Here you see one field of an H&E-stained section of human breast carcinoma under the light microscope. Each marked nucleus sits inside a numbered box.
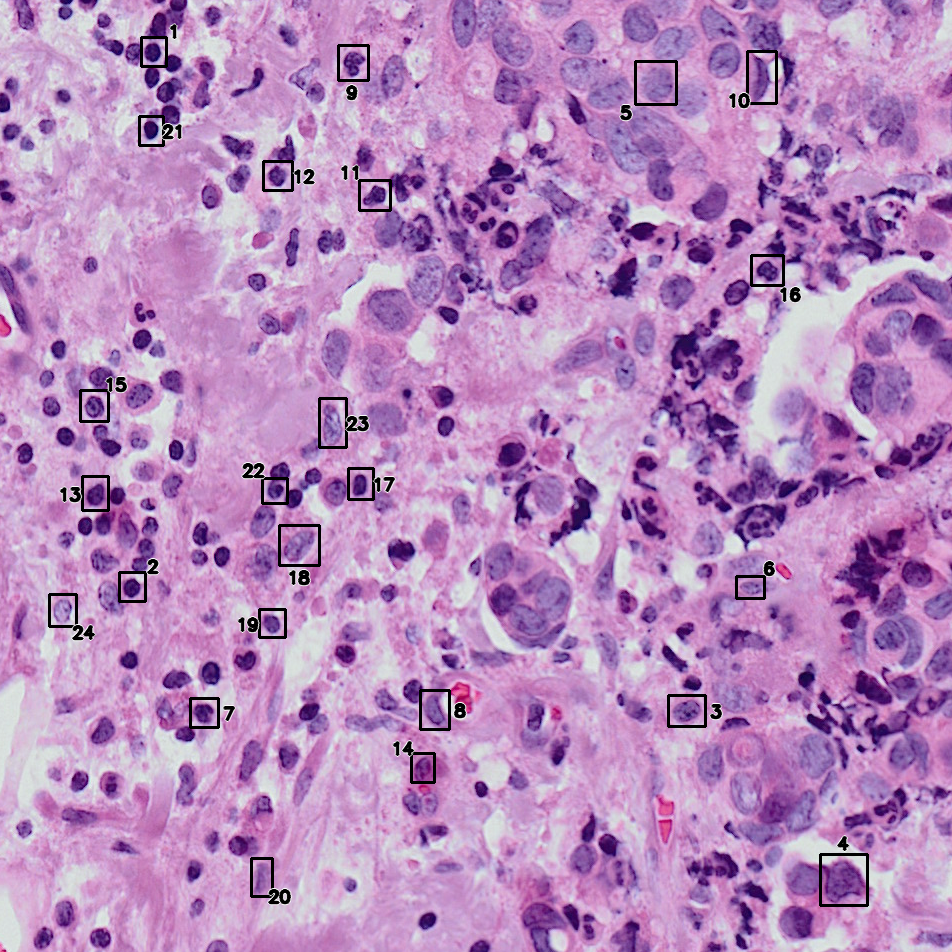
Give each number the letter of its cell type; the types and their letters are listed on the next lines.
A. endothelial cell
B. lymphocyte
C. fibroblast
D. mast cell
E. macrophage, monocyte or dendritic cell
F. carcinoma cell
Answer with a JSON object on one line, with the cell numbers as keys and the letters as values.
{"1": "B", "2": "B", "3": "D", "4": "F", "5": "F", "6": "A", "7": "B", "8": "A", "9": "B", "10": "F", "11": "B", "12": "B", "13": "B", "14": "A", "15": "B", "16": "B", "17": "B", "18": "E", "19": "B", "20": "C", "21": "B", "22": "B", "23": "E", "24": "E"}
